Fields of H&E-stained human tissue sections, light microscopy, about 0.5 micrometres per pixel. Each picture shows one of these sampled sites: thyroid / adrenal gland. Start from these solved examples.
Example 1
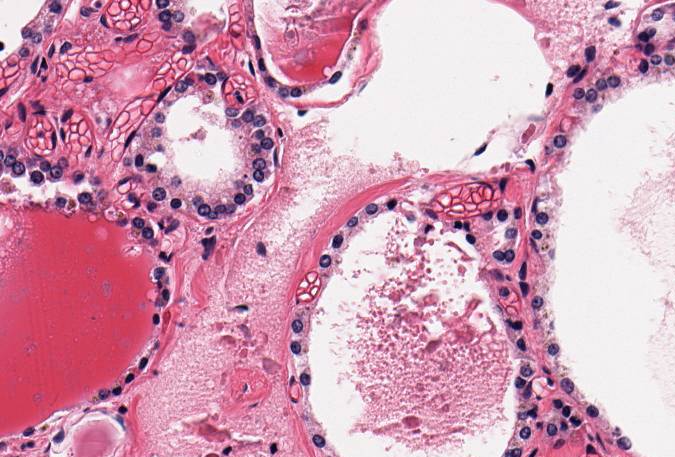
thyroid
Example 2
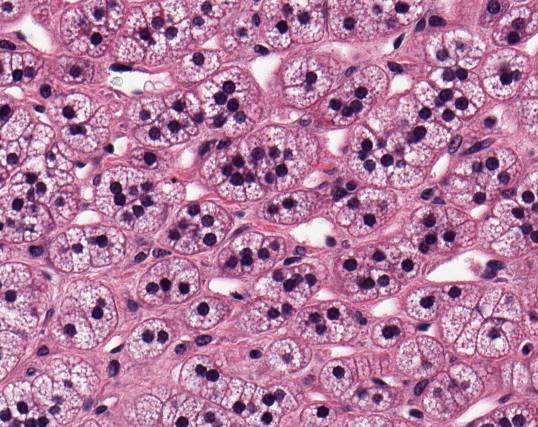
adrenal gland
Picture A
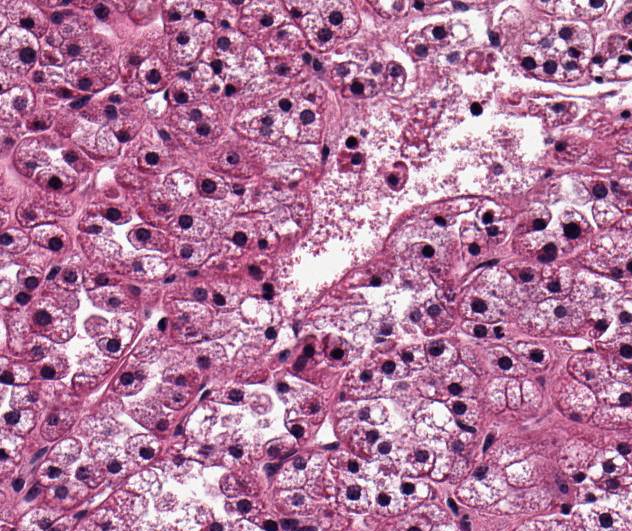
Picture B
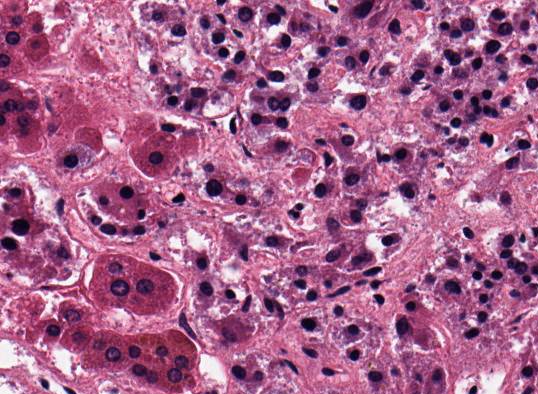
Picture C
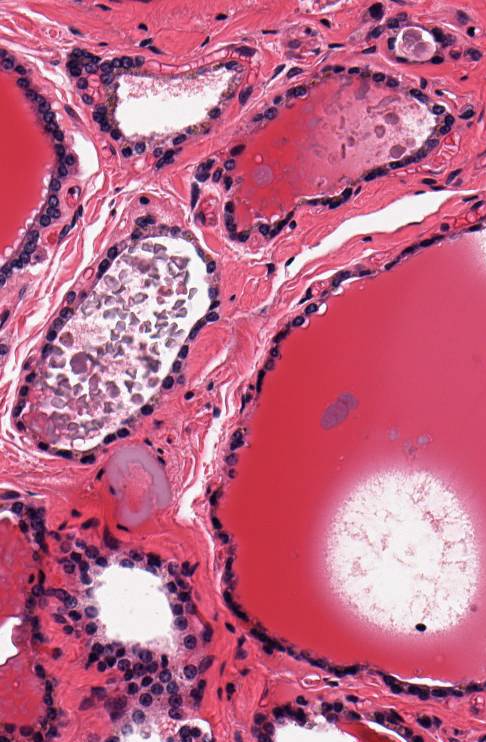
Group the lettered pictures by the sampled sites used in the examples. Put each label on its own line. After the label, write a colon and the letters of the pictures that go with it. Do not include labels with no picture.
thyroid: C
adrenal gland: A, B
